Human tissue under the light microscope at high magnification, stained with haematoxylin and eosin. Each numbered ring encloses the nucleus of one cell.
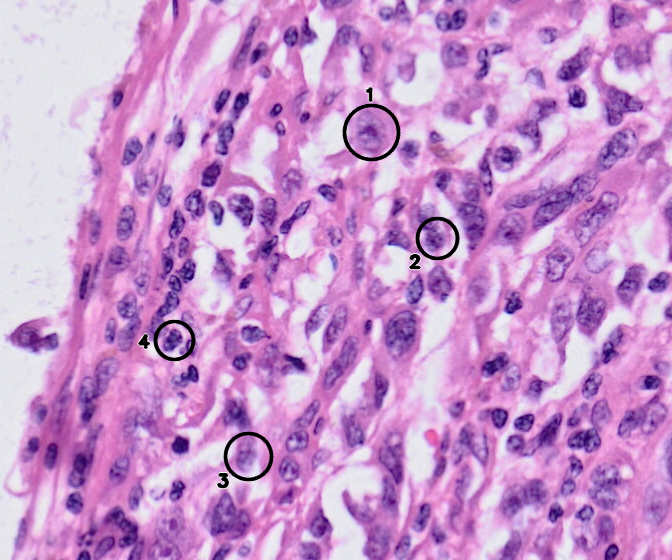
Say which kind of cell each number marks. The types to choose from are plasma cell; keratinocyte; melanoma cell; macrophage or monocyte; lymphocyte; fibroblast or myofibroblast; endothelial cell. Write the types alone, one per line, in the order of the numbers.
melanoma cell
melanoma cell
melanoma cell
lymphocyte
